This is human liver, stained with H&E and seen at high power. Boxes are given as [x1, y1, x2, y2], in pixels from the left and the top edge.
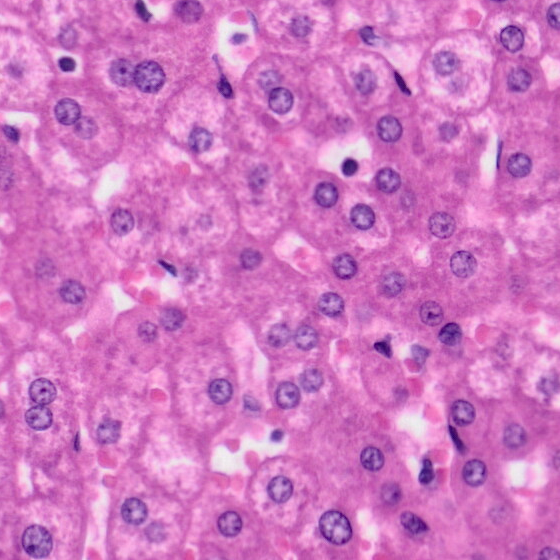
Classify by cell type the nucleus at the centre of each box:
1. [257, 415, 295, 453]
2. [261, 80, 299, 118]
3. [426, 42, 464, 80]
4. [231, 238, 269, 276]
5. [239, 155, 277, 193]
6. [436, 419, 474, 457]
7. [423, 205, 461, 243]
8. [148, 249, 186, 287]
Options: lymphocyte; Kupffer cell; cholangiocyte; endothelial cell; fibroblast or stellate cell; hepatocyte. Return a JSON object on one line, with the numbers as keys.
{"1": "lymphocyte", "2": "hepatocyte", "3": "hepatocyte", "4": "hepatocyte", "5": "hepatocyte", "6": "fibroblast or stellate cell", "7": "hepatocyte", "8": "endothelial cell"}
